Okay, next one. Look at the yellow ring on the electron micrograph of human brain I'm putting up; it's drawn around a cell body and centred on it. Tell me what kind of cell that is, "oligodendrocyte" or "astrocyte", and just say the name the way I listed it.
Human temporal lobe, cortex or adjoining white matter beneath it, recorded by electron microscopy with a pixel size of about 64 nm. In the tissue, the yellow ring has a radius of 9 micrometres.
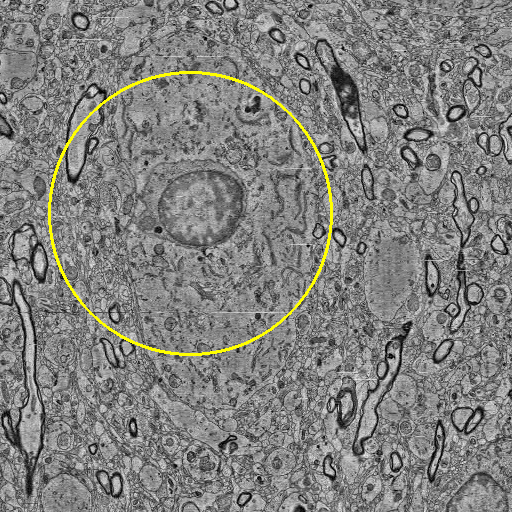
oligodendrocyte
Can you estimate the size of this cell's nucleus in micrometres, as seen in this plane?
About 5 micrometres across, as seen in this plane.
